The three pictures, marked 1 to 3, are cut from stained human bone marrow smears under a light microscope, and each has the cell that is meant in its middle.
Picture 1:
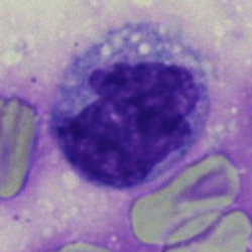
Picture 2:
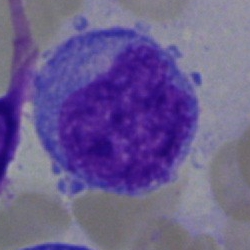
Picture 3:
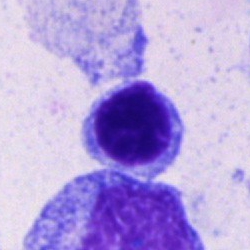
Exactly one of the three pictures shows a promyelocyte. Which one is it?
2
